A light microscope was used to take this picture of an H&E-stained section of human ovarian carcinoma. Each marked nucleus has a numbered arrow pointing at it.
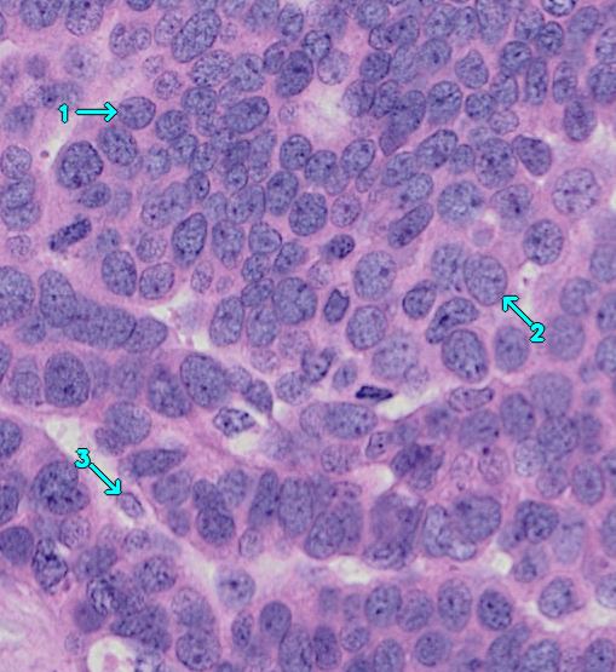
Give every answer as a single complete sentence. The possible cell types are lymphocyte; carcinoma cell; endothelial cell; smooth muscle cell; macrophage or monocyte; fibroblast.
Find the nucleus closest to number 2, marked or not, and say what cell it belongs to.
The cell nearest to number 2 is a carcinoma cell.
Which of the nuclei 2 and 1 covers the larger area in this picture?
Number 2 is larger; its area is about 1.5 times that of number 1.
